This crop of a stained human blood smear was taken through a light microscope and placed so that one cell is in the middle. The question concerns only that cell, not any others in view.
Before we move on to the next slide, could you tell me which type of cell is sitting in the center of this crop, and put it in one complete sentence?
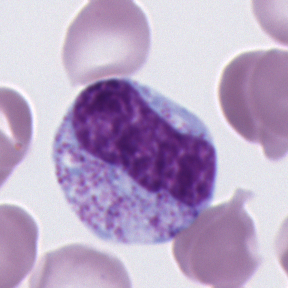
The cell at the heart of this crop is a band neutrophil.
